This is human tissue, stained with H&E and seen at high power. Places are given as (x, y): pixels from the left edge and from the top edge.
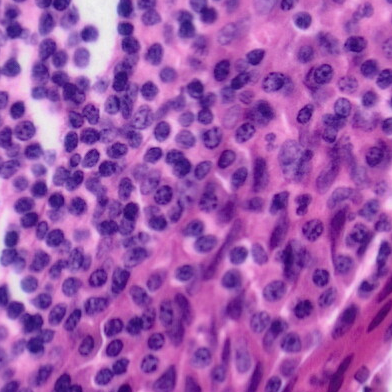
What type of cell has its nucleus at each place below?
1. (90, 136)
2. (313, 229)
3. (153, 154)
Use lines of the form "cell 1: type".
cell 1: small lymphocyte
cell 2: plasma cell
cell 3: small lymphocyte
